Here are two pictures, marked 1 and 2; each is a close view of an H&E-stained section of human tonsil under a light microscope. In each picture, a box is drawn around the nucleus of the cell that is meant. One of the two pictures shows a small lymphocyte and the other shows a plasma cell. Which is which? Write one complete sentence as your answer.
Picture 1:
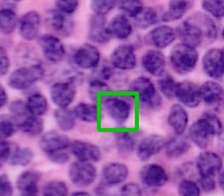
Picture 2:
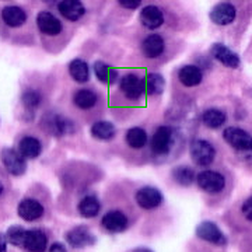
The cell in picture 1 is a small lymphocyte, and the one in picture 2 is a plasma cell.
